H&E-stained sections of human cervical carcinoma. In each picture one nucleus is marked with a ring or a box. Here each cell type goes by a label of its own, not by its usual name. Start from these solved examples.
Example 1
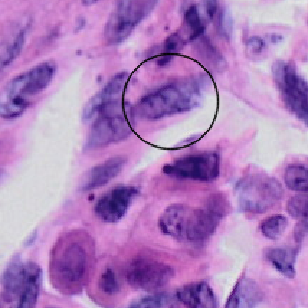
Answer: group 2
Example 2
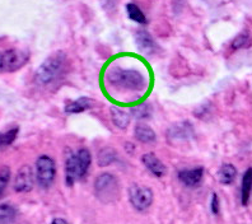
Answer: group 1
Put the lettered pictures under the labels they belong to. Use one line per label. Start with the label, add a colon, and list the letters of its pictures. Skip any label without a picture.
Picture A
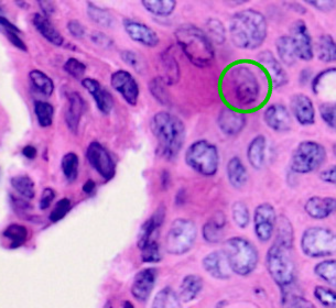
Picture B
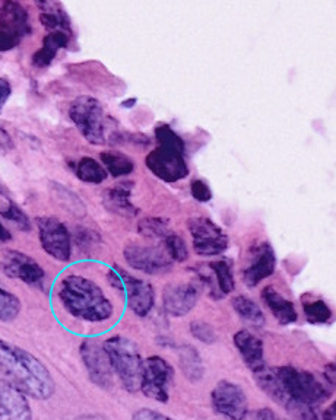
group 2: A, B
